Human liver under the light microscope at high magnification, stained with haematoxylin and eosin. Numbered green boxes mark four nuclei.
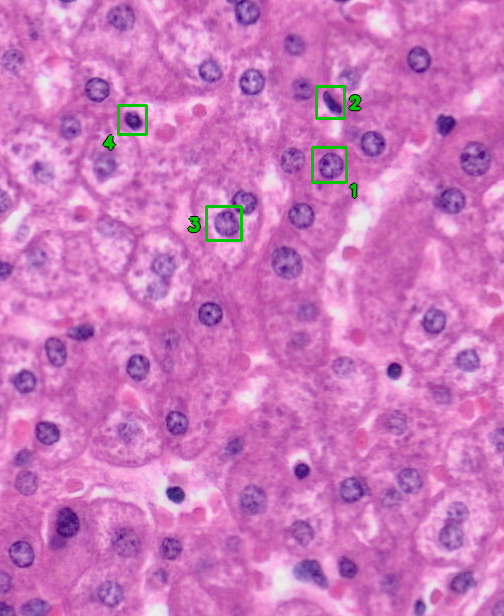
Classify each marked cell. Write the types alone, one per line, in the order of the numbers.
hepatocyte
endothelial cell
hepatocyte
lymphocyte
